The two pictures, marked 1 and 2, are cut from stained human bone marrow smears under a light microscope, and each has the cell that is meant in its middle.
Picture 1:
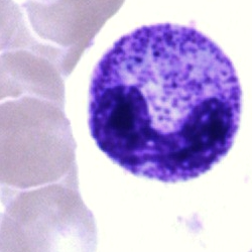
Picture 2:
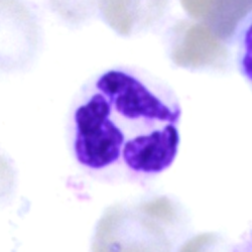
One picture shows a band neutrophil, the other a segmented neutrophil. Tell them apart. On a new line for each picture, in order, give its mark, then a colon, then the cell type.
1: band neutrophil
2: segmented neutrophil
